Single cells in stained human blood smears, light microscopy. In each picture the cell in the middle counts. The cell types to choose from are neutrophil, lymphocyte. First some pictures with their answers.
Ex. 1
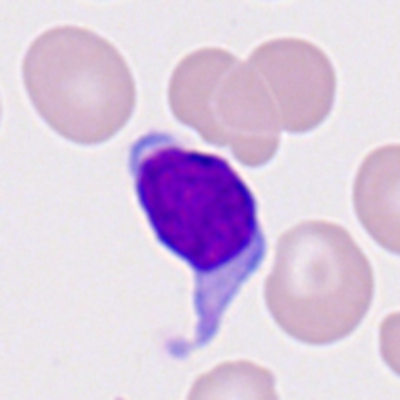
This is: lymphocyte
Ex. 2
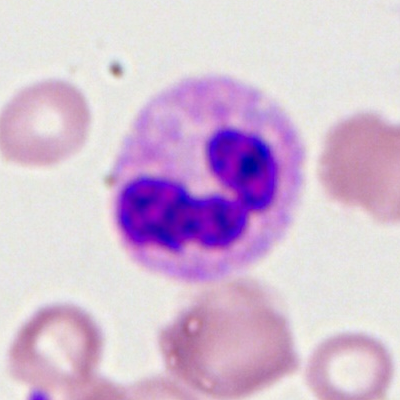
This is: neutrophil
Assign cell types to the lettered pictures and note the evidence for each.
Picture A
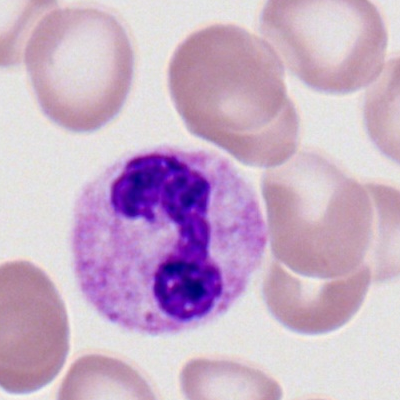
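neutrophil: The nucleus is a curved band shaped like a question mark.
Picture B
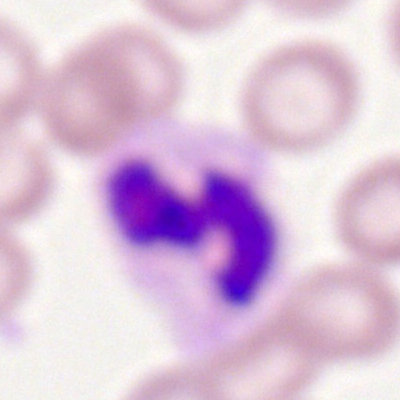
neutrophil: The cytoplasm is plentiful and pale pinkish-lilac.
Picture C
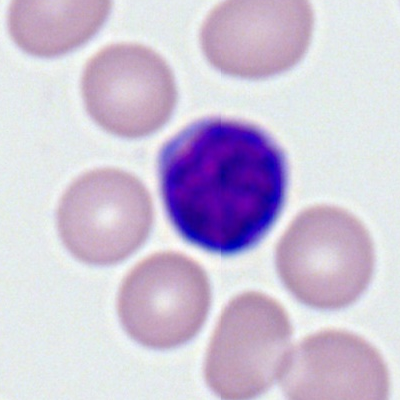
lymphocyte: The nucleus fills almost the whole cell.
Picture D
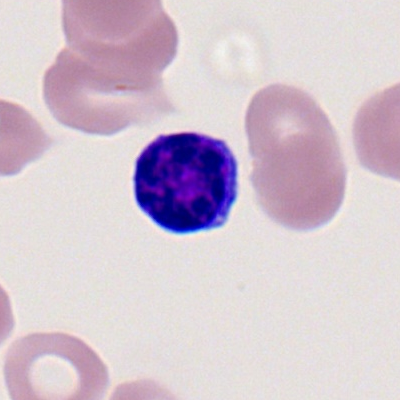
lymphocyte: Cytoplasm is scant, showing only as a thin blue rim at the edge.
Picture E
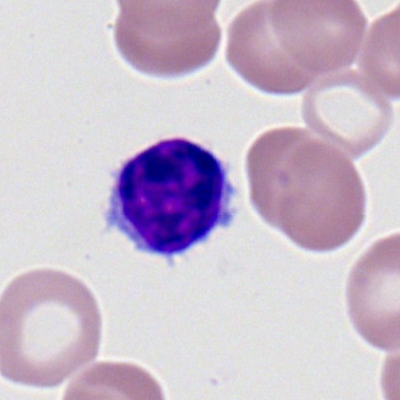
lymphocyte: The cytoplasm is a scanty rim of pale blue around the nucleus.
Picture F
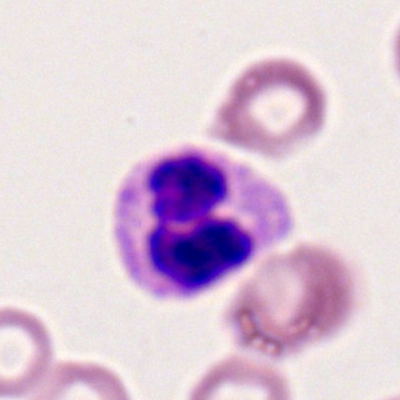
neutrophil: The nucleus is divided into two lobes, one lying above the other.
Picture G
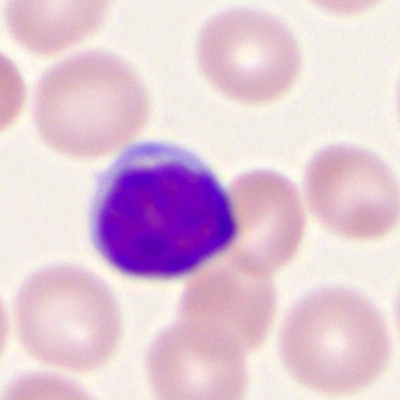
lymphocyte: The nucleus fills almost all of the cell.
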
